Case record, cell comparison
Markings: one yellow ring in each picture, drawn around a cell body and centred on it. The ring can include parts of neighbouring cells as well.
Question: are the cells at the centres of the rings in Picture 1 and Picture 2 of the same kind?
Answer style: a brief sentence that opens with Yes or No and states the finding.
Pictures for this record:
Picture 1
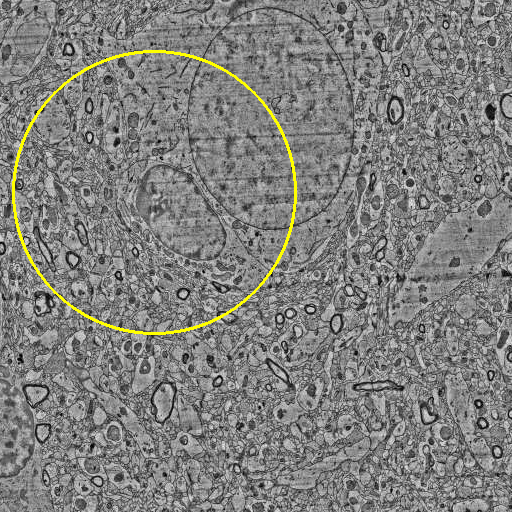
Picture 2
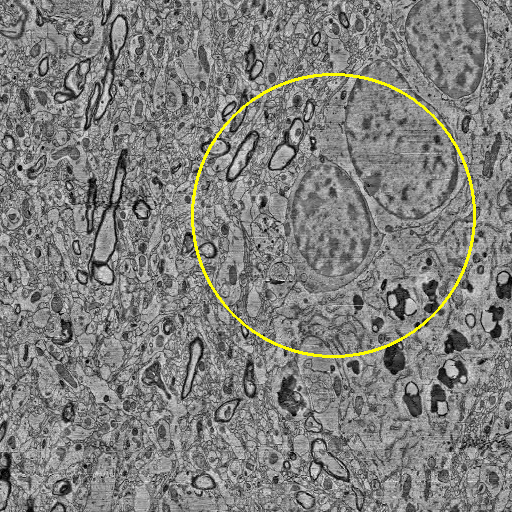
No, the cells in Picture 1 and Picture 2 are of two kinds.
